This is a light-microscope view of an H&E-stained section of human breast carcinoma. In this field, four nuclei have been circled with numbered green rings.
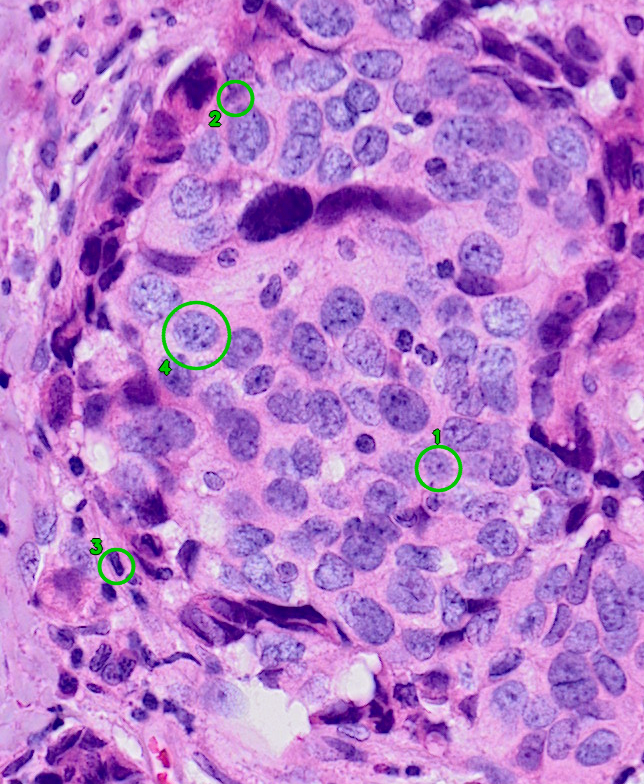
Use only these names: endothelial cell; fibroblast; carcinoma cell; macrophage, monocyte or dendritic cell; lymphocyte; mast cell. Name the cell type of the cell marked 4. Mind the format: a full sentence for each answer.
The marked cell bearing number 4 is a carcinoma cell.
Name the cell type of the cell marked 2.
The cell that is numbered 2 is a carcinoma cell.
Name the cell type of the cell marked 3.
In this section, the cell numbered 3 is a lymphocyte.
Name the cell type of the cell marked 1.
The cell that goes by number 1 is a carcinoma cell.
